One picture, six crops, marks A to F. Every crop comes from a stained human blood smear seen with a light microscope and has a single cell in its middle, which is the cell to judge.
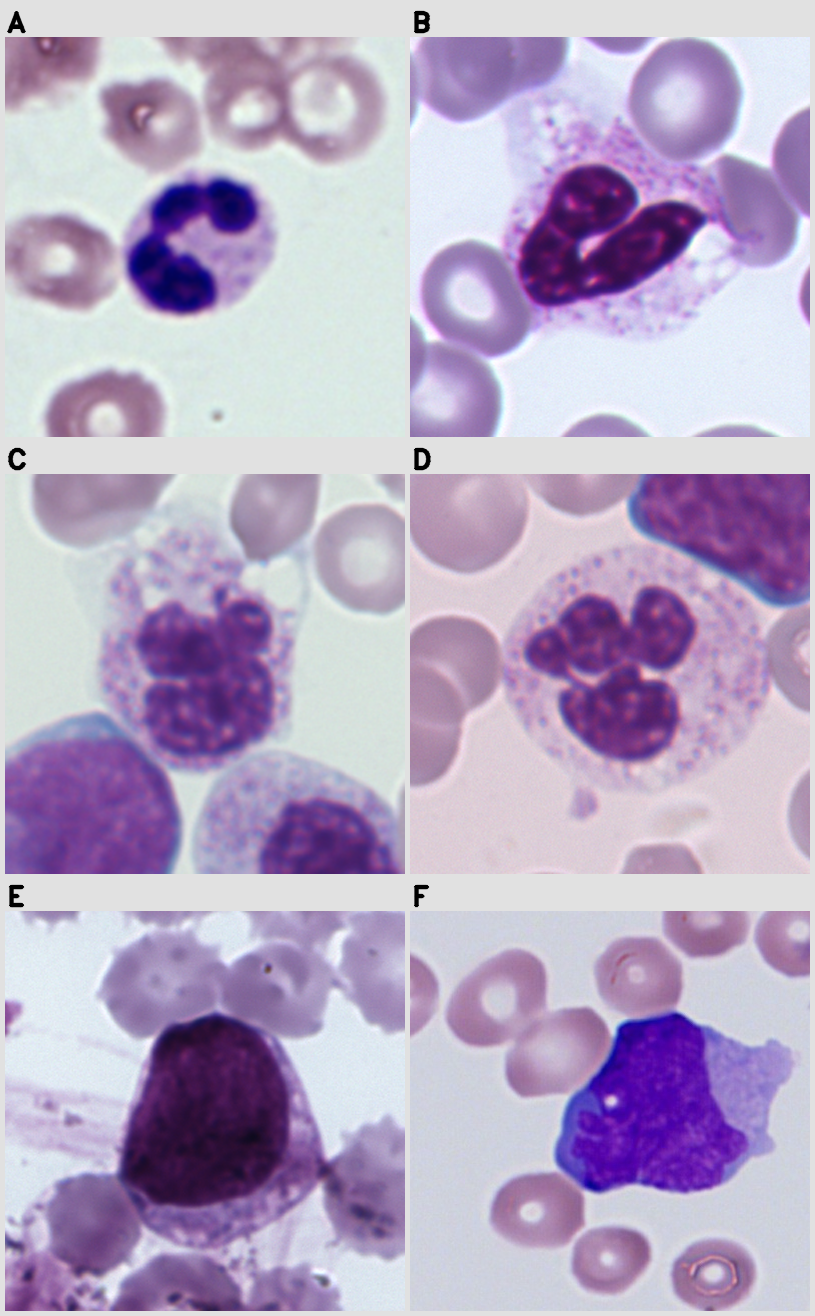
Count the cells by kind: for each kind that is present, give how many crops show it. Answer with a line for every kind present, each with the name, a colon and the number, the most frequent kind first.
neutrophil: 4
blast: 2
